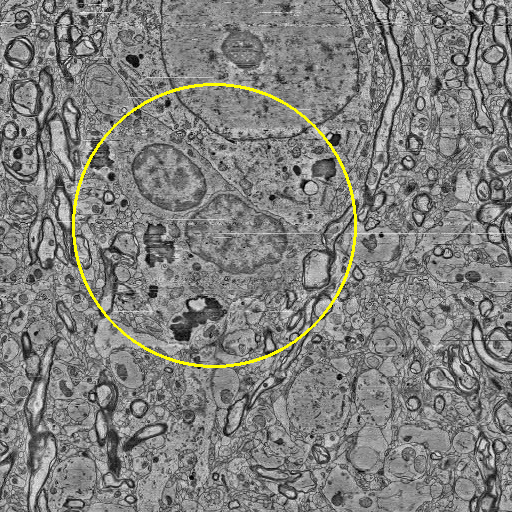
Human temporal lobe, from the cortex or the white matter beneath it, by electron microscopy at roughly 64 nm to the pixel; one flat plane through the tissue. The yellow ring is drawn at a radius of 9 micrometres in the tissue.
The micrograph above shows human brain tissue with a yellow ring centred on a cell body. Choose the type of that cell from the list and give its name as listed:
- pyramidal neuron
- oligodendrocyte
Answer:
oligodendrocyte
